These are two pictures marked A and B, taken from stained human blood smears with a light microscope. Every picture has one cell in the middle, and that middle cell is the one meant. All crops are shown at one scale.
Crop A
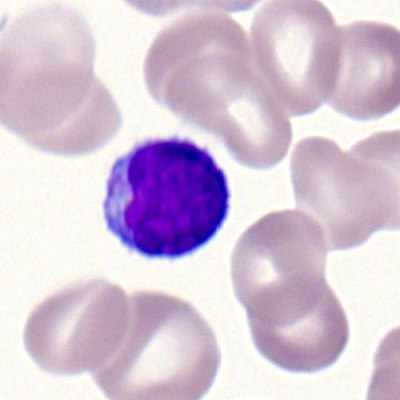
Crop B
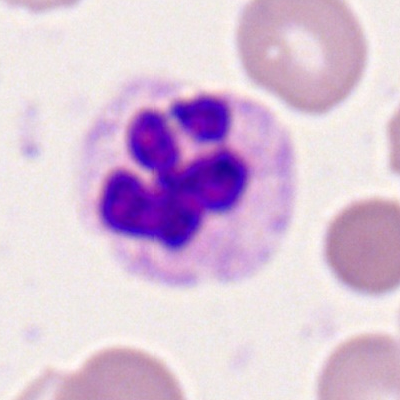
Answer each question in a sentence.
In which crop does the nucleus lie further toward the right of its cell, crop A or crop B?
Seen within its cell, the nucleus in crop A lies further toward the right.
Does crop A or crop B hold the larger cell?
It is the cell in crop B, about 2.5 times as large in area as the cell in crop A.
